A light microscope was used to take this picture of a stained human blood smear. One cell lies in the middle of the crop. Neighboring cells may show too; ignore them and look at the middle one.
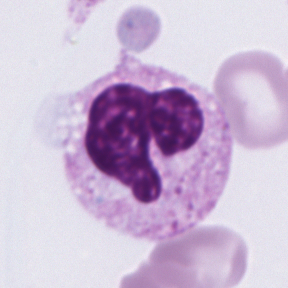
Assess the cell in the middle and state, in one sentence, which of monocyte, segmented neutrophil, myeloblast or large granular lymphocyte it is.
In the middle of this smear crop is a segmented neutrophil.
